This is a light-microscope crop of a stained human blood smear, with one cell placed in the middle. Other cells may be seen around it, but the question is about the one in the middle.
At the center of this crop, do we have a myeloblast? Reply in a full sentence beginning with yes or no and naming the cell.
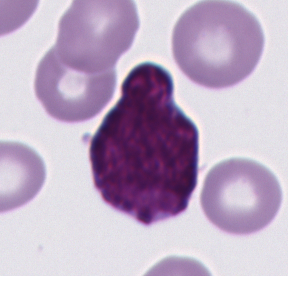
Yes, a myeloblast is present in the middle of the crop.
